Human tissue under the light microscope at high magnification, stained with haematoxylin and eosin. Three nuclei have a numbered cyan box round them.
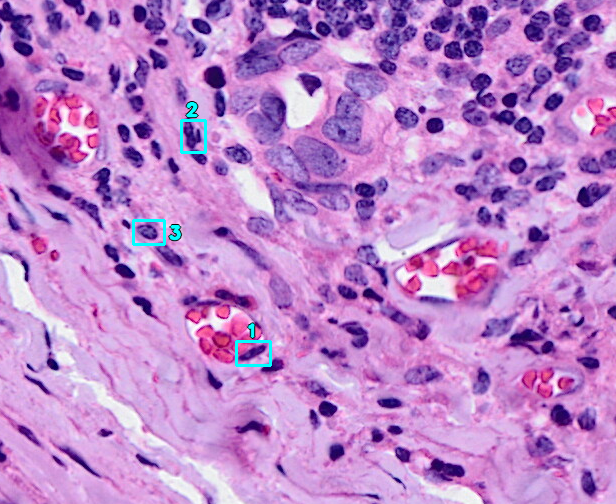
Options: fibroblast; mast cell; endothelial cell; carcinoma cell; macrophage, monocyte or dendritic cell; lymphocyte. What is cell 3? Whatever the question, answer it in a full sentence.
The correct label for cell 3 is a mast cell.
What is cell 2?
The nucleus labelled 2 belongs to a lymphocyte.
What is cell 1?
The expected answer is that cell 1 is an endothelial cell.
